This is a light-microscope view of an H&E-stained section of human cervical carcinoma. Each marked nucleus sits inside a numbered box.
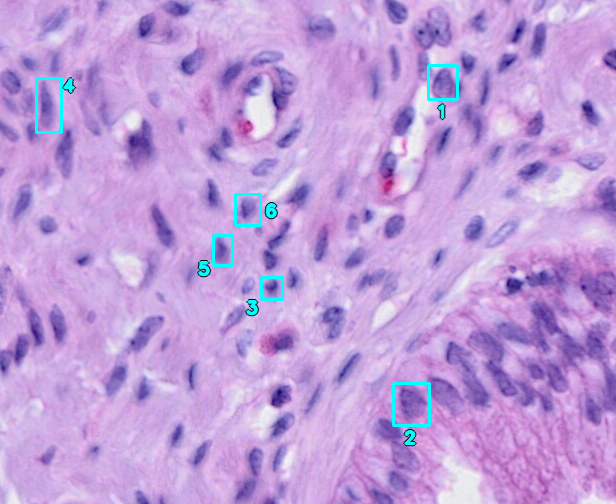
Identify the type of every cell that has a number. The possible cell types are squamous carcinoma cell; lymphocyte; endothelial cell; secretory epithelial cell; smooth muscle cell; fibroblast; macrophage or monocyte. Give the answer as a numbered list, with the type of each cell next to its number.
1. endothelial cell
2. secretory epithelial cell
3. fibroblast
4. fibroblast
5. fibroblast
6. fibroblast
